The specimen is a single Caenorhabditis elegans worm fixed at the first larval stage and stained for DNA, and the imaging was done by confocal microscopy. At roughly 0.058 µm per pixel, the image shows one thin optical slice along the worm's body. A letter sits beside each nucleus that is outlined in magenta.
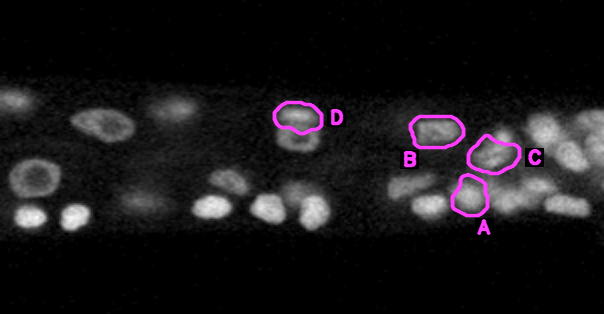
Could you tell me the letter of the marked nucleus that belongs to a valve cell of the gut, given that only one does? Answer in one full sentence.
Of the marked nuclei, C is the one in a valve cell of the gut.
